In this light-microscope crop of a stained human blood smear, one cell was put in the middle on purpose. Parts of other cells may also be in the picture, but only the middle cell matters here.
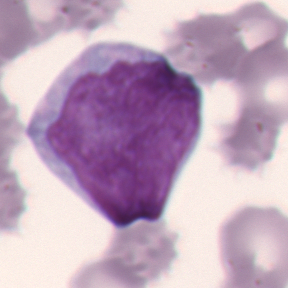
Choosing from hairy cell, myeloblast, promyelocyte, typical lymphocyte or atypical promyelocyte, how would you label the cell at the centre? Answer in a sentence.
Occupying the centre of the crop is a myeloblast.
